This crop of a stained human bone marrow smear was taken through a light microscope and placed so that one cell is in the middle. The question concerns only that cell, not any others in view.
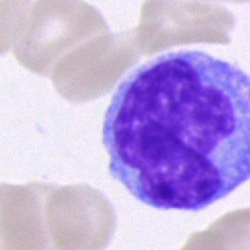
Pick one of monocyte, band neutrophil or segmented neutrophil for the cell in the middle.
monocyte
